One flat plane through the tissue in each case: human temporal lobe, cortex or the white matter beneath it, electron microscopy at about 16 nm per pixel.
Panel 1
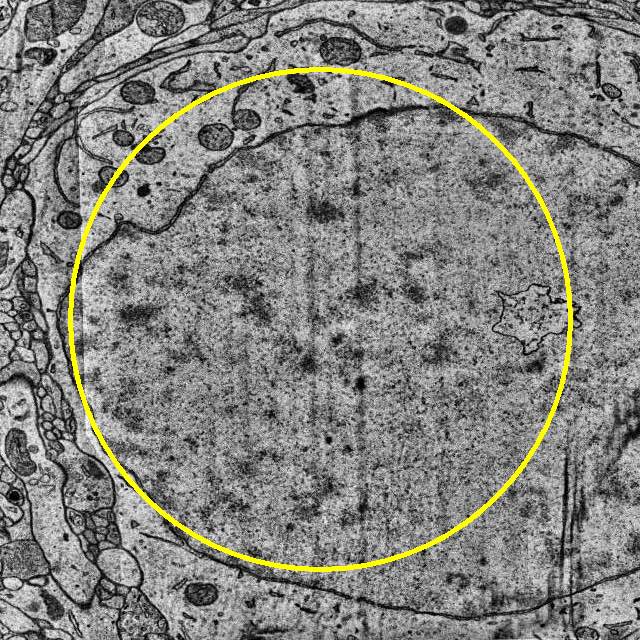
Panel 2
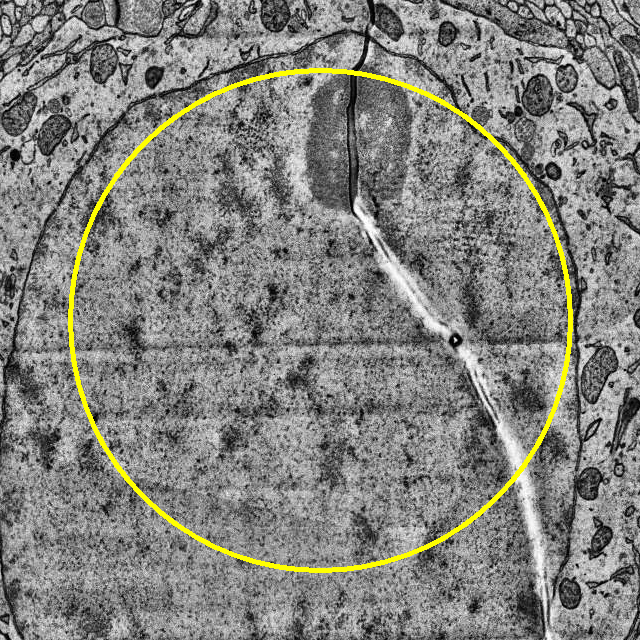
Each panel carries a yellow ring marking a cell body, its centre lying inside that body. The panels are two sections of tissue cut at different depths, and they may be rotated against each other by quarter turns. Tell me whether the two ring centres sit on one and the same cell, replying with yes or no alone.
yes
